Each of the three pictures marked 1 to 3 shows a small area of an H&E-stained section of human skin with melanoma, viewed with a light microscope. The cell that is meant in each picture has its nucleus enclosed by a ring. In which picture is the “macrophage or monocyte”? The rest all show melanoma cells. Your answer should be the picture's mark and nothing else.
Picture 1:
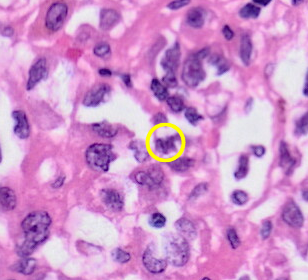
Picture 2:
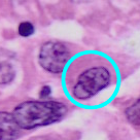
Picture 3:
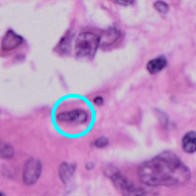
3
